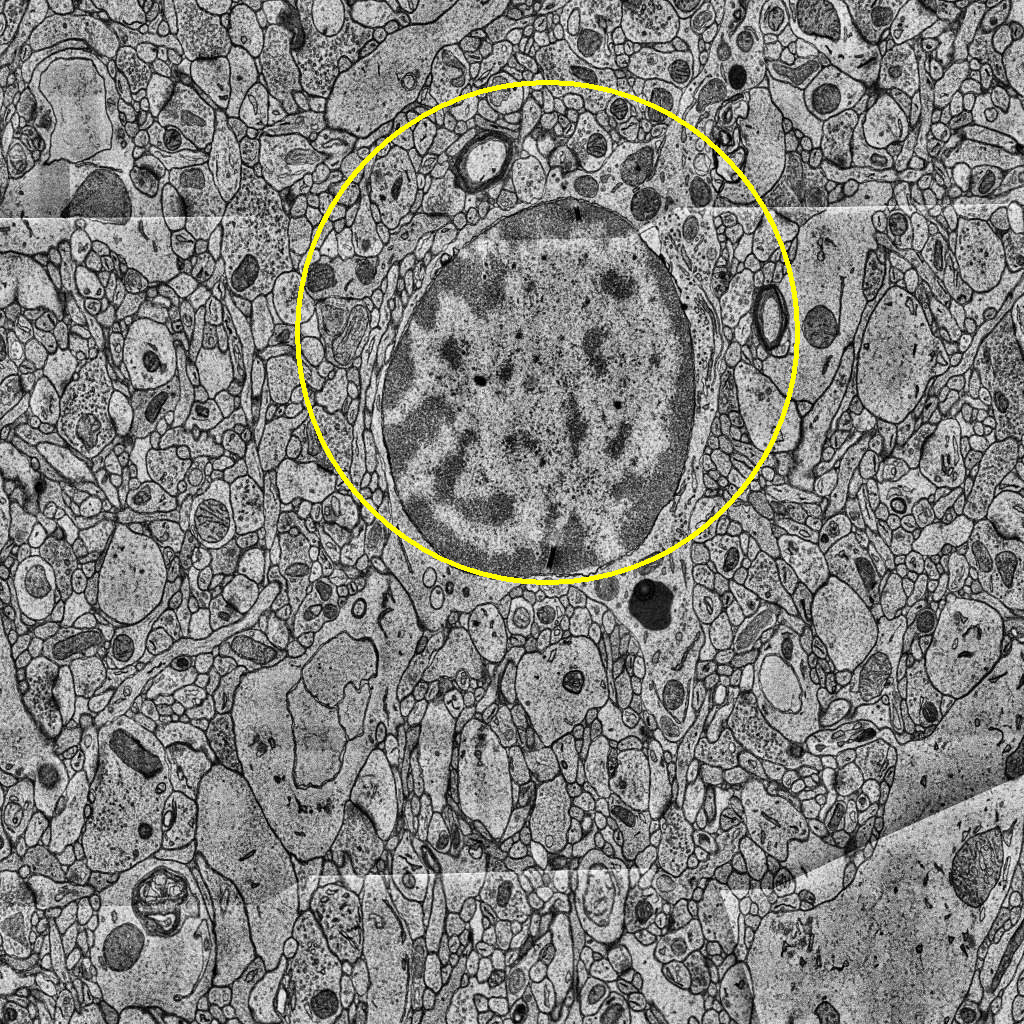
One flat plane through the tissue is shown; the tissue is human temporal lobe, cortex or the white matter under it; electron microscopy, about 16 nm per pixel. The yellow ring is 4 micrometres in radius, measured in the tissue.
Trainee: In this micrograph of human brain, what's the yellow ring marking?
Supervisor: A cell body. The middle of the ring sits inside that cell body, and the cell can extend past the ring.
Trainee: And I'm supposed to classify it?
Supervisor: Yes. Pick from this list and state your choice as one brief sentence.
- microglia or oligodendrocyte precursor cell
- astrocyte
The cell at the ring's center is a microglial cell or oligodendrocyte precursor cell.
